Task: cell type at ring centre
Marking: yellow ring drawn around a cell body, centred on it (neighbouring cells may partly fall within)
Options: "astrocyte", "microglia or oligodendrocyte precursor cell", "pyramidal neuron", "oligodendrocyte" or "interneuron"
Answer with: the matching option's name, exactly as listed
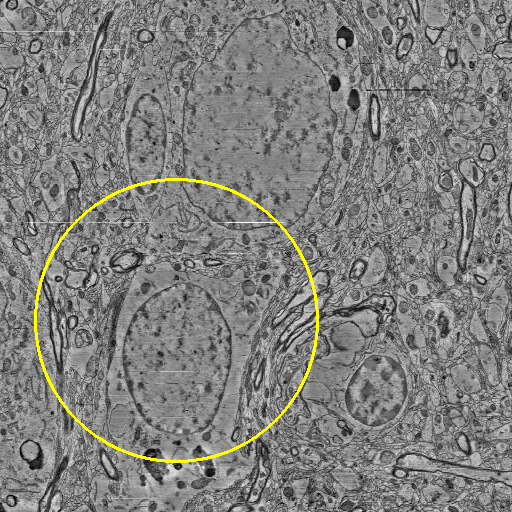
astrocyte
